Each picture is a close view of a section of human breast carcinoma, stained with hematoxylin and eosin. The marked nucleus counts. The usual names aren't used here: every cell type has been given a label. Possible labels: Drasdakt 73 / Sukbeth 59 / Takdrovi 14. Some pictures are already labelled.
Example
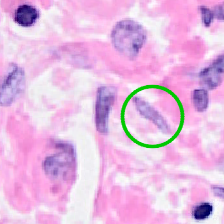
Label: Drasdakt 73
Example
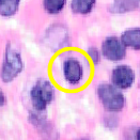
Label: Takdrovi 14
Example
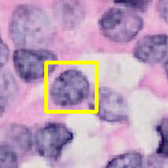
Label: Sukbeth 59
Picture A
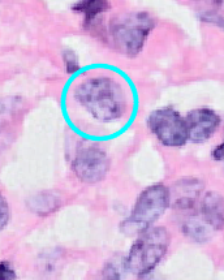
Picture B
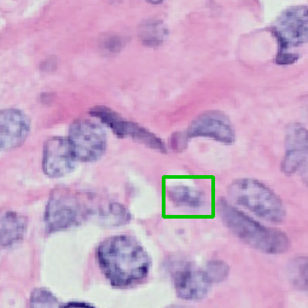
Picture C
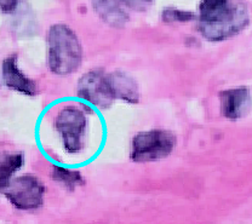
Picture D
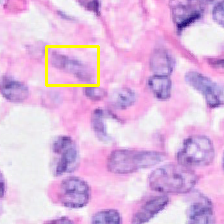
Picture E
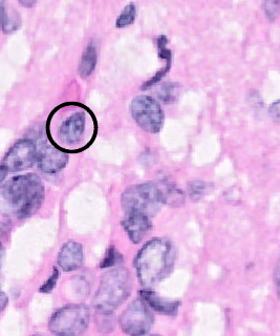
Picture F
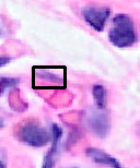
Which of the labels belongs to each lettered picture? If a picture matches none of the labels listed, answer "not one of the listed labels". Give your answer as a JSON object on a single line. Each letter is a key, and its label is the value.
{"A": "Sukbeth 59", "B": "not one of the listed labels", "C": "Sukbeth 59", "D": "not one of the listed labels", "E": "not one of the listed labels", "F": "not one of the listed labels"}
